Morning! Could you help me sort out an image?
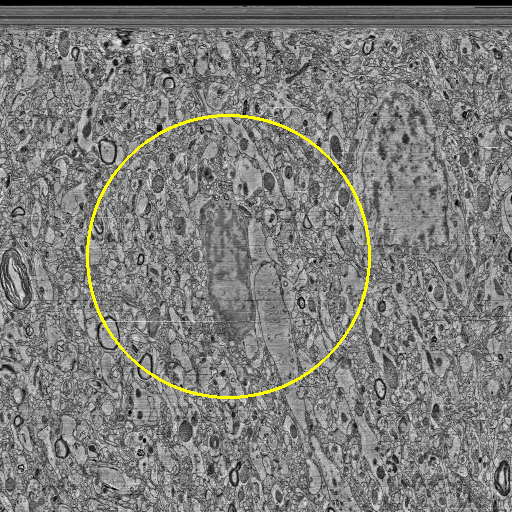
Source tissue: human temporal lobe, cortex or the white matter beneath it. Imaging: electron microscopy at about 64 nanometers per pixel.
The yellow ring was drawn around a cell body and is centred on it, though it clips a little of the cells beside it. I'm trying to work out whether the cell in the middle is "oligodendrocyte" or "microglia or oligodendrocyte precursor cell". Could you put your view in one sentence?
The ringed cell body is that of an oligodendrocyte.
